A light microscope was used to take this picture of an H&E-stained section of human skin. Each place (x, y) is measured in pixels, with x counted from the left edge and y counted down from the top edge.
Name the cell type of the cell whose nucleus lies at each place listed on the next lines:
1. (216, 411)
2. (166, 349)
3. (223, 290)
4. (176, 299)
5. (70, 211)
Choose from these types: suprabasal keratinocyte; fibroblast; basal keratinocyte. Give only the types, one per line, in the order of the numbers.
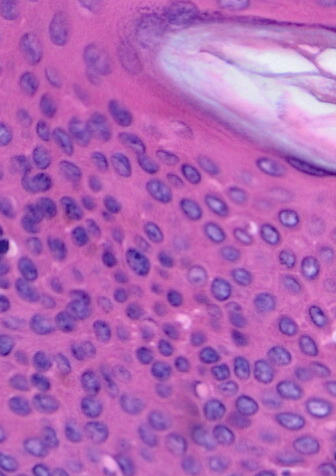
suprabasal keratinocyte
basal keratinocyte
suprabasal keratinocyte
basal keratinocyte
basal keratinocyte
